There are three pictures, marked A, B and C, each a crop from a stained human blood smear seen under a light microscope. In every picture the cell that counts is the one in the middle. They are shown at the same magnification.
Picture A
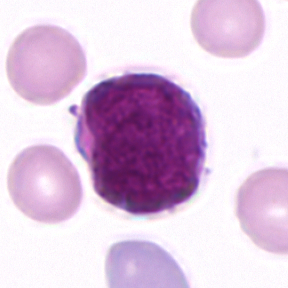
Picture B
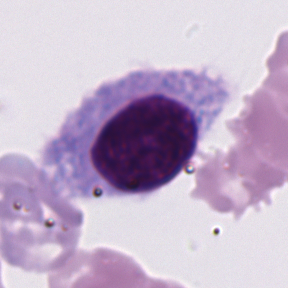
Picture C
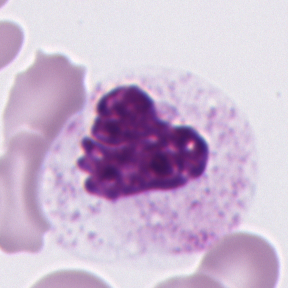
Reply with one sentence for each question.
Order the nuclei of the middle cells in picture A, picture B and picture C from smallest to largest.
Going up, they run B, C, A.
